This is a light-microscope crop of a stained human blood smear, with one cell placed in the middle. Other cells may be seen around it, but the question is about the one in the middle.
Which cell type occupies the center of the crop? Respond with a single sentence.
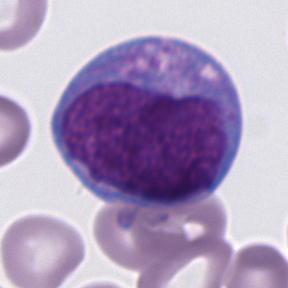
The crop's centre is taken up by a promyelocyte.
